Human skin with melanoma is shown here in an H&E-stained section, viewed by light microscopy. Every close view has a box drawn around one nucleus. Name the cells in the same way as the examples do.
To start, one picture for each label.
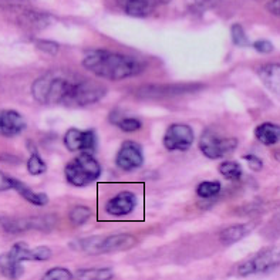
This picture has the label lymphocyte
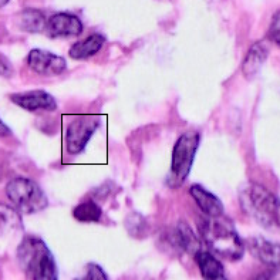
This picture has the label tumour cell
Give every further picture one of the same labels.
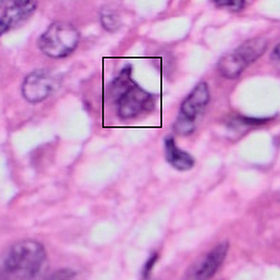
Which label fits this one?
tumour cell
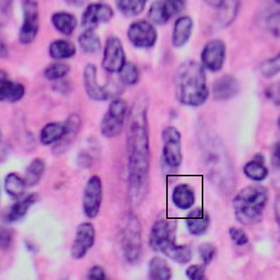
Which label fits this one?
lymphocyte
